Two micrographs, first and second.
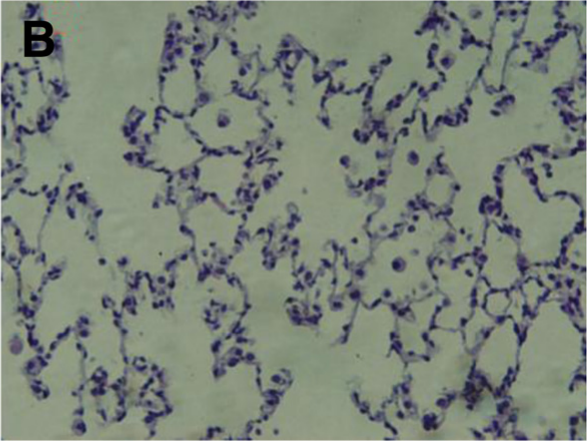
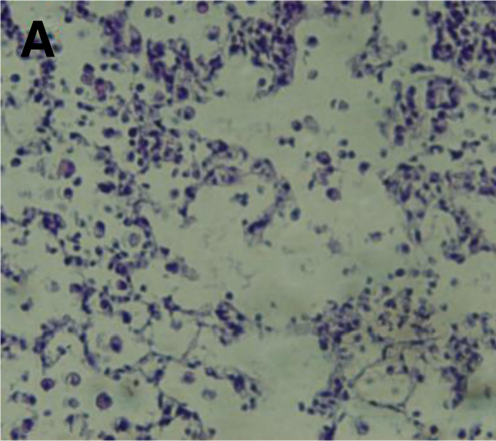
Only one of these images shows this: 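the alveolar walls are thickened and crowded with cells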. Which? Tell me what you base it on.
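First image: alveolar walls are thin lacy lines around open, mostly empty air spaces. Second image: walls are thick, densely packed with dark nuclei, and many free cells lie in the air spaces.
The second image.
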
